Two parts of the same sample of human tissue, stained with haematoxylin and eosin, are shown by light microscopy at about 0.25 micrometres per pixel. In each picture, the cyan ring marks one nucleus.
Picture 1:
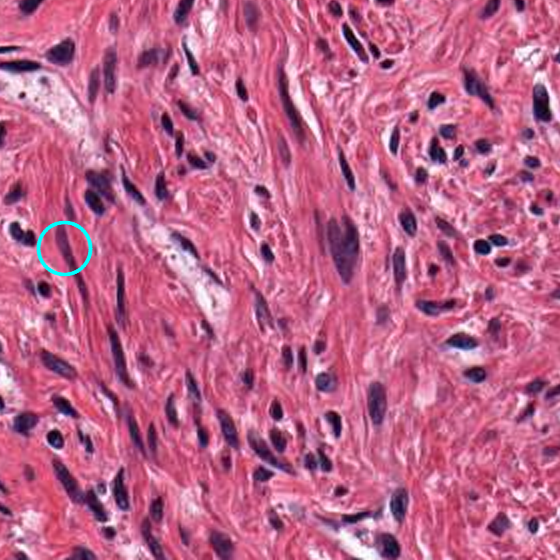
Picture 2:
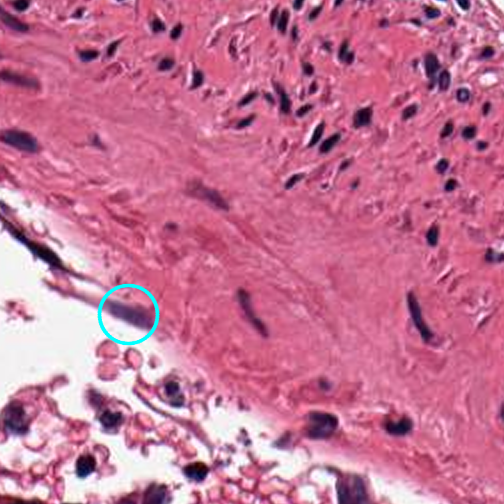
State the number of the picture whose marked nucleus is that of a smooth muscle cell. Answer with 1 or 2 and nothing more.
1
